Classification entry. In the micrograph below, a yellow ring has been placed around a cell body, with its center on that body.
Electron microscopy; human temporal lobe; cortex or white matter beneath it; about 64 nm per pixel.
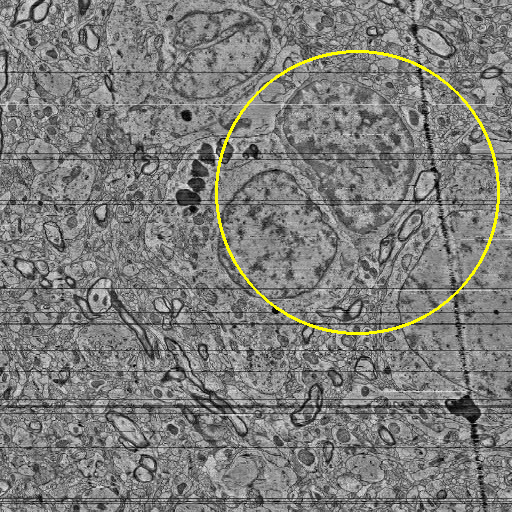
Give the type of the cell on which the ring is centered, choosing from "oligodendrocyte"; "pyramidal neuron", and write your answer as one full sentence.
The cell body at the center of the yellow ring belongs to an oligodendrocyte.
